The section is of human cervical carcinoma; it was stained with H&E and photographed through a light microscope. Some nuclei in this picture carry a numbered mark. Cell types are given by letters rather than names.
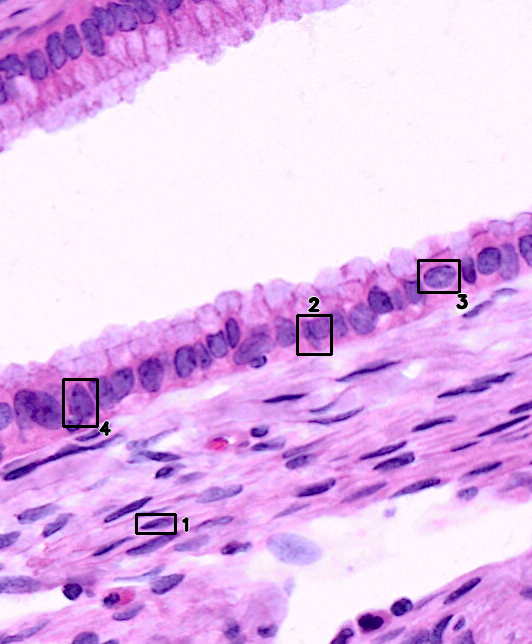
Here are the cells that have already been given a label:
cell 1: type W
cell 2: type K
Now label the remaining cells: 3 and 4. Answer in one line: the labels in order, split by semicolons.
type K; type K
